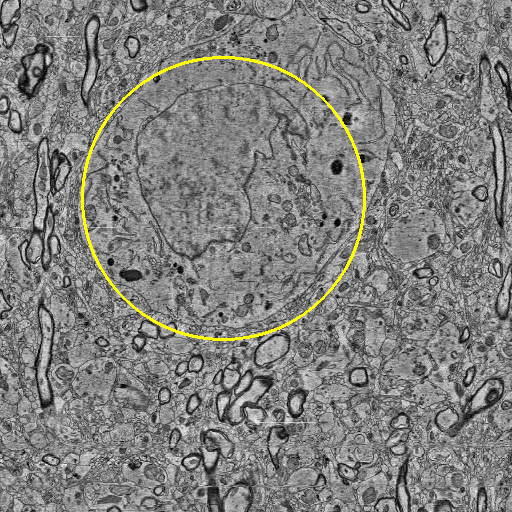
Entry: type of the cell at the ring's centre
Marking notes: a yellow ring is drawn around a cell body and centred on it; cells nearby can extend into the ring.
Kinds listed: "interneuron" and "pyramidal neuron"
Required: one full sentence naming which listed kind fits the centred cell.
My entry names a pyramidal neuron as the cell whose body the yellow ring centres on.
